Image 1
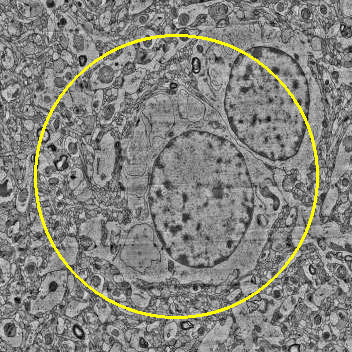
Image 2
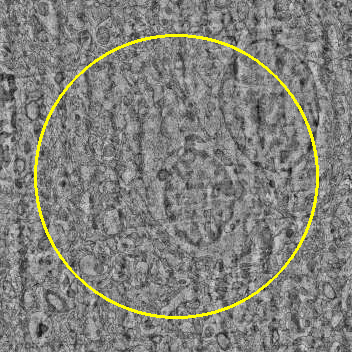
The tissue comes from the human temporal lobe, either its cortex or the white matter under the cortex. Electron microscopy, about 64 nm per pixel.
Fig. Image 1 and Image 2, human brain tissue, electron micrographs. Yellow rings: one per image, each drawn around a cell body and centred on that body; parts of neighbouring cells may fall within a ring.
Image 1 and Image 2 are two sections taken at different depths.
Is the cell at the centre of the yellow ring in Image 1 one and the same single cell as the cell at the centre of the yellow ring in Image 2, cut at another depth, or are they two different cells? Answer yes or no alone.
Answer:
yes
